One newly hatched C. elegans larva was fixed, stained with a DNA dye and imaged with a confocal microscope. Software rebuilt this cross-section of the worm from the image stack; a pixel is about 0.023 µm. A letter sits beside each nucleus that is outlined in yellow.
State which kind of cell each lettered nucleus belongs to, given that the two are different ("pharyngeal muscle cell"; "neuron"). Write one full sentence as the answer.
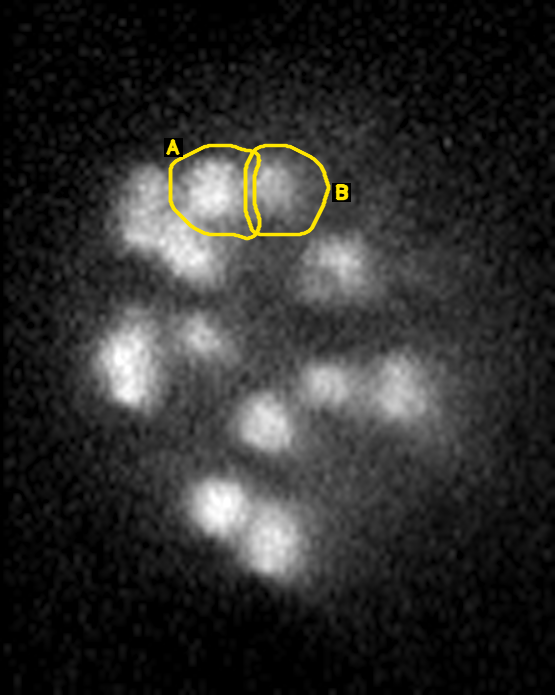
The nucleus A is that of a neuron, while B is that of a pharyngeal muscle cell.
